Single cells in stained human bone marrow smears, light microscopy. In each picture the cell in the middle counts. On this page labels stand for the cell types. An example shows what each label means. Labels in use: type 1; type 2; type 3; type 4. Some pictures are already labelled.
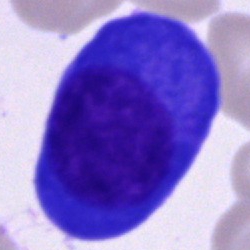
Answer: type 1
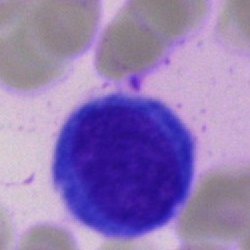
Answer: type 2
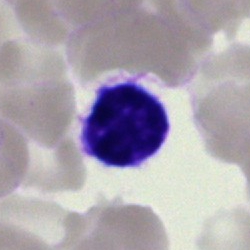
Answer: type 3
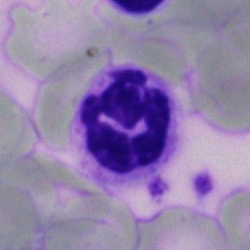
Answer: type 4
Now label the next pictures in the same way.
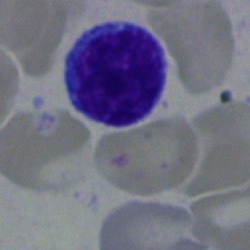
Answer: type 3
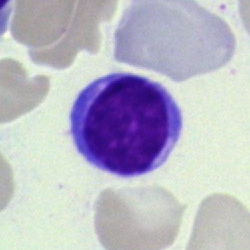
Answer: type 3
